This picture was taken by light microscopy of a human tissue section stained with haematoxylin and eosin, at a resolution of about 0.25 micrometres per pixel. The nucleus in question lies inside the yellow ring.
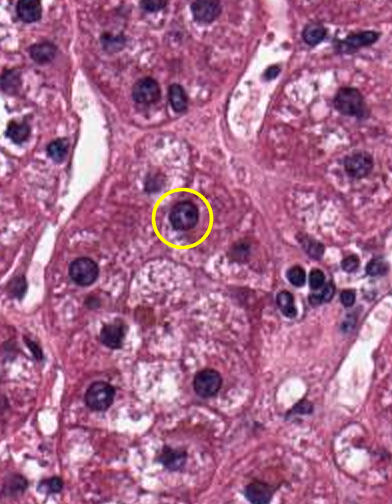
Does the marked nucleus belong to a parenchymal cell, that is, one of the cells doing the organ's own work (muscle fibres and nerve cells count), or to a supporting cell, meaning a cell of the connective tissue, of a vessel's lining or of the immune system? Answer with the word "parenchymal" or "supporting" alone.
parenchymal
